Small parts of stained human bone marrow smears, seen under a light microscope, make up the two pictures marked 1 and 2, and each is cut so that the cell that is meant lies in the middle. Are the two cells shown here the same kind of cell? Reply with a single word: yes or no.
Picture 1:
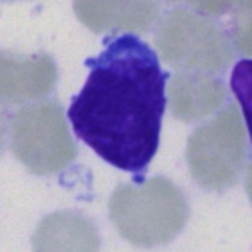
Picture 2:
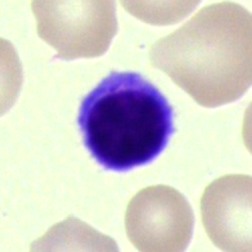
no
